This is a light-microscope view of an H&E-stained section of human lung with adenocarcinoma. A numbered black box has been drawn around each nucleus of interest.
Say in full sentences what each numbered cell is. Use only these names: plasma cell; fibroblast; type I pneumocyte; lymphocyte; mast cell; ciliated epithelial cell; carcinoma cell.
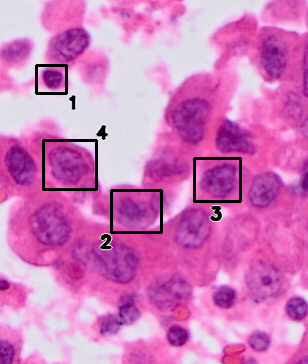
Cell 1 is a lymphocyte, cell 2 is a carcinoma cell, cell 3 is a carcinoma cell and cell 4 is a carcinoma cell.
